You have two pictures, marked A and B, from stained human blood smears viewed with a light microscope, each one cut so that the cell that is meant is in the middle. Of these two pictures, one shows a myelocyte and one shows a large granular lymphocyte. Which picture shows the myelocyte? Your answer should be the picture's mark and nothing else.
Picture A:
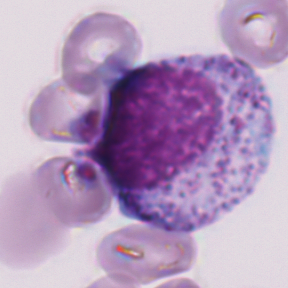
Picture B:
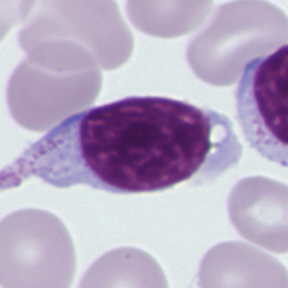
A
